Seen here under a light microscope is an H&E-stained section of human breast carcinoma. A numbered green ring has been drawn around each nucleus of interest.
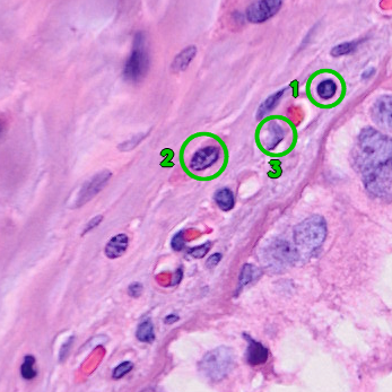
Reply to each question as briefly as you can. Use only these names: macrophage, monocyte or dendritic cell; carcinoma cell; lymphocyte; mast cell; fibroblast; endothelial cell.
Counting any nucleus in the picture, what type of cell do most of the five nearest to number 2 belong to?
endothelial cell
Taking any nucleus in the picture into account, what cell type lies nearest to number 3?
fibroblast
